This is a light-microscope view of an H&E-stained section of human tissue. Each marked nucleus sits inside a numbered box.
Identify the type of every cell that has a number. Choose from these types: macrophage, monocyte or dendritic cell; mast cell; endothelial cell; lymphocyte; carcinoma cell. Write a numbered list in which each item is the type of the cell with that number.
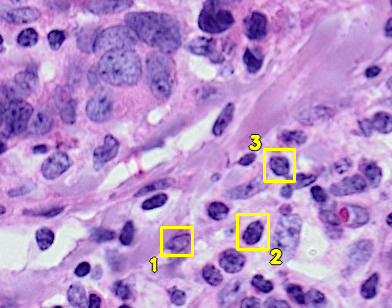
1. macrophage, monocyte or dendritic cell
2. lymphocyte
3. lymphocyte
